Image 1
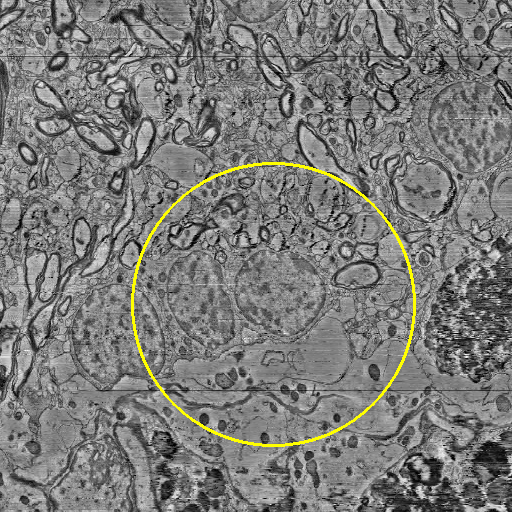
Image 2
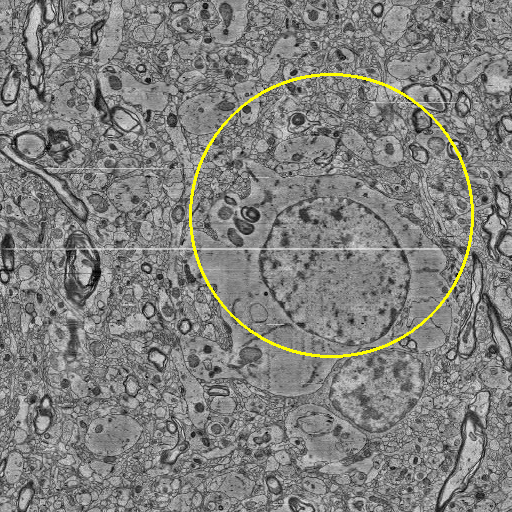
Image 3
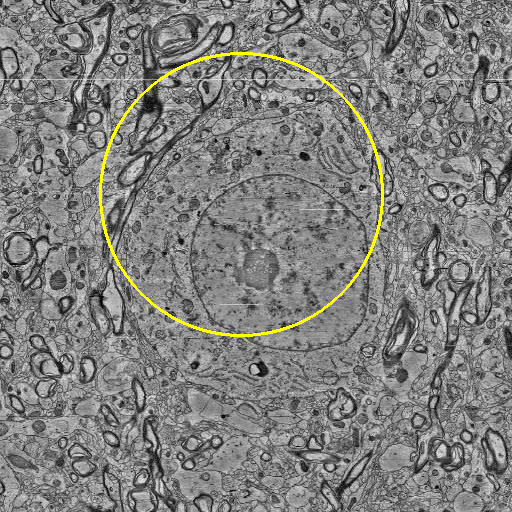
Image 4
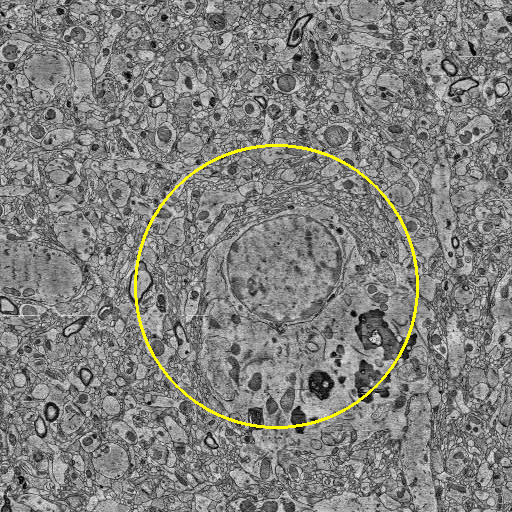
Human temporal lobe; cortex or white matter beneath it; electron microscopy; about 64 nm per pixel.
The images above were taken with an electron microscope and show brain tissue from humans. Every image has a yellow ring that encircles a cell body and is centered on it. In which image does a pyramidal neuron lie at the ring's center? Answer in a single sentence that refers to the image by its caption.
In Image 3, the cell at the center of the yellow ring is the correct match.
